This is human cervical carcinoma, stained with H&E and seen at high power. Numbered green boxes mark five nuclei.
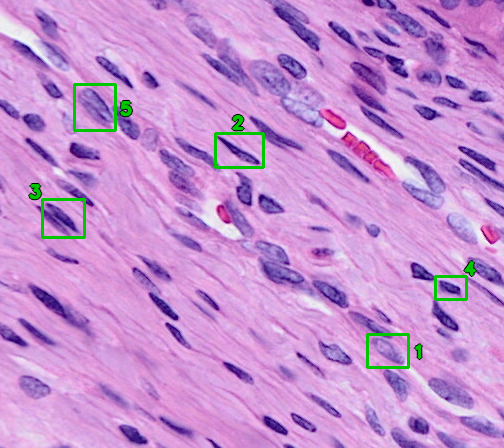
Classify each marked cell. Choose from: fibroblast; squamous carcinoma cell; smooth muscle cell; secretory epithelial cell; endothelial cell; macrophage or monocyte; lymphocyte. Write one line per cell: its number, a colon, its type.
1: endothelial cell
2: fibroblast
3: fibroblast
4: fibroblast
5: endothelial cell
